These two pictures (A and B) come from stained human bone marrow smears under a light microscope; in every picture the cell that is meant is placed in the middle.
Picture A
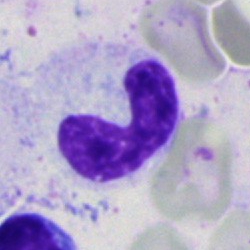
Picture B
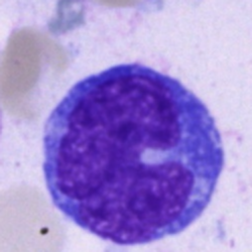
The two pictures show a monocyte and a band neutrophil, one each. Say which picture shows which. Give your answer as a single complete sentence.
Picture A shows a band neutrophil and picture B shows a monocyte.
